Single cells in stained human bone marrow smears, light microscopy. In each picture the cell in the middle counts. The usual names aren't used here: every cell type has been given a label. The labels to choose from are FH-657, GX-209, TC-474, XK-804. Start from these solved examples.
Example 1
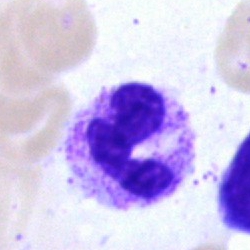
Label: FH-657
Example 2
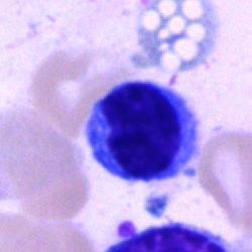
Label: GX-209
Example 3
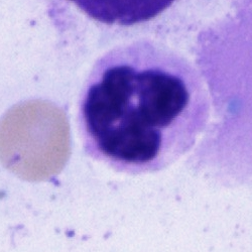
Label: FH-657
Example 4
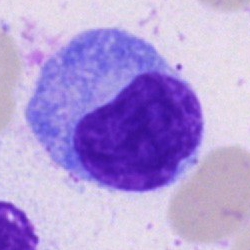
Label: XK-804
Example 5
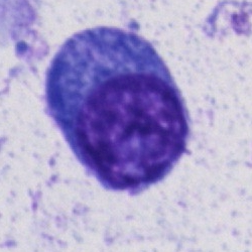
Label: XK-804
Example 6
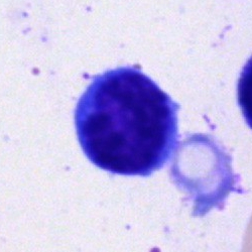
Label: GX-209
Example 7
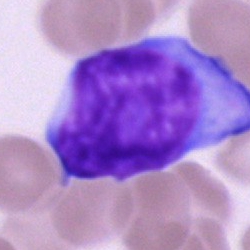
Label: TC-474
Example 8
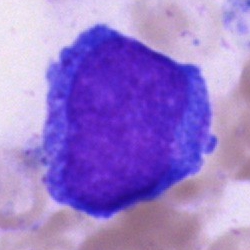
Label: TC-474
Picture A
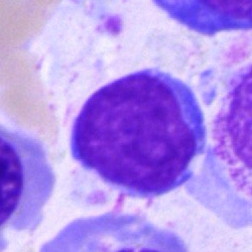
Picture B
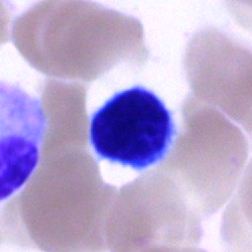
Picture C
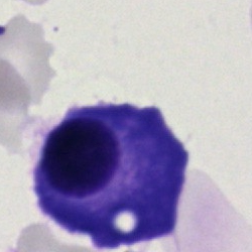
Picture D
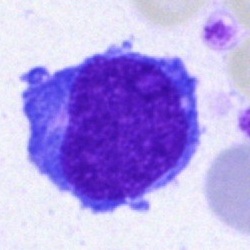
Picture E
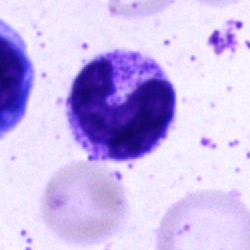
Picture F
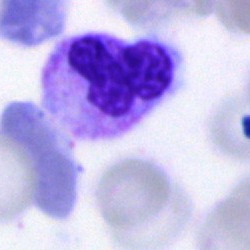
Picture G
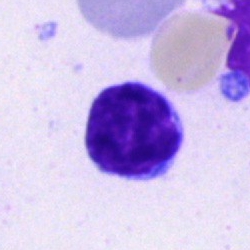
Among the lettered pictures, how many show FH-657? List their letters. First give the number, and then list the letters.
2, namely E, F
